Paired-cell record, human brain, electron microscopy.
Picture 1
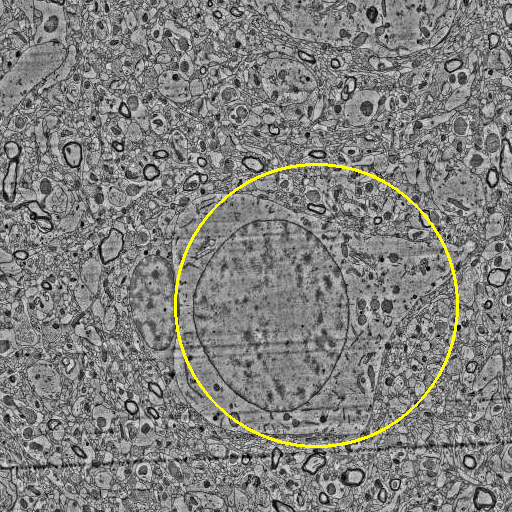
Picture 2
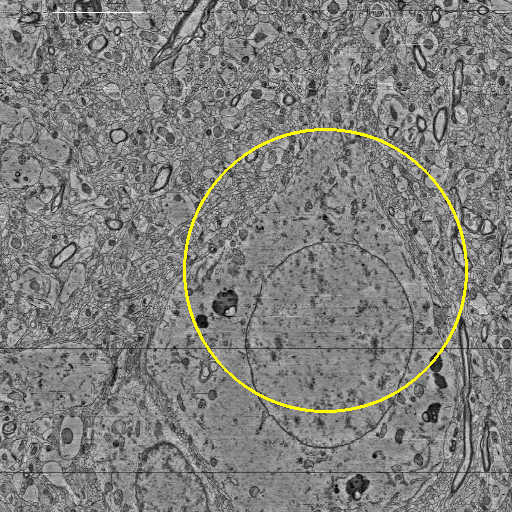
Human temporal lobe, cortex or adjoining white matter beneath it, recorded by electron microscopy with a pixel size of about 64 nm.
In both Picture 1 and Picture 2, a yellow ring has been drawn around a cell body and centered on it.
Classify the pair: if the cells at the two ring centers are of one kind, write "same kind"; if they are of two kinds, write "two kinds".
same kind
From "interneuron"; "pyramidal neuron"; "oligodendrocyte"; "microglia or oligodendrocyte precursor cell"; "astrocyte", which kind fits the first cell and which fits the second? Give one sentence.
Both rings mark a pyramidal neuron, one in each picture.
